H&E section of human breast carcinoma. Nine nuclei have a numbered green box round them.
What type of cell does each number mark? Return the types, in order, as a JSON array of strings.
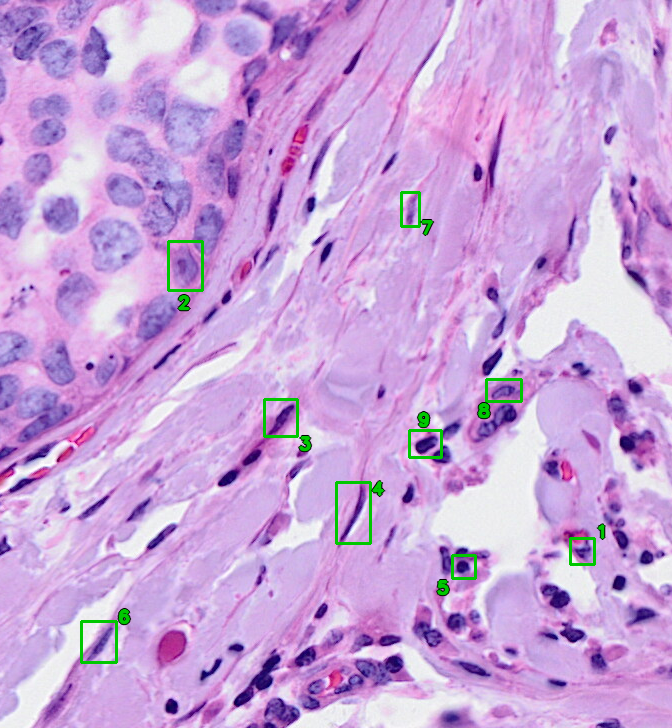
["endothelial cell", "carcinoma cell", "fibroblast", "fibroblast", "lymphocyte", "fibroblast", "fibroblast", "endothelial cell", "lymphocyte"]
